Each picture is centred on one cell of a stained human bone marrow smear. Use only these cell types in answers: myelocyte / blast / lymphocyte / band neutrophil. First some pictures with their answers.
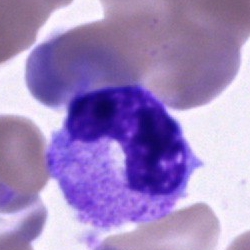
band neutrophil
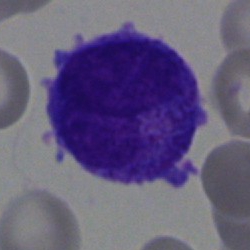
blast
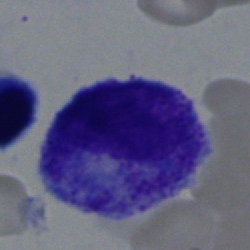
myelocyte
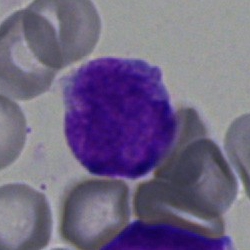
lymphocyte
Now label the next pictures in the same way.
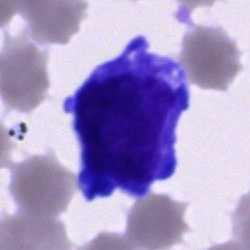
blast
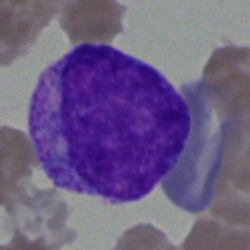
blast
